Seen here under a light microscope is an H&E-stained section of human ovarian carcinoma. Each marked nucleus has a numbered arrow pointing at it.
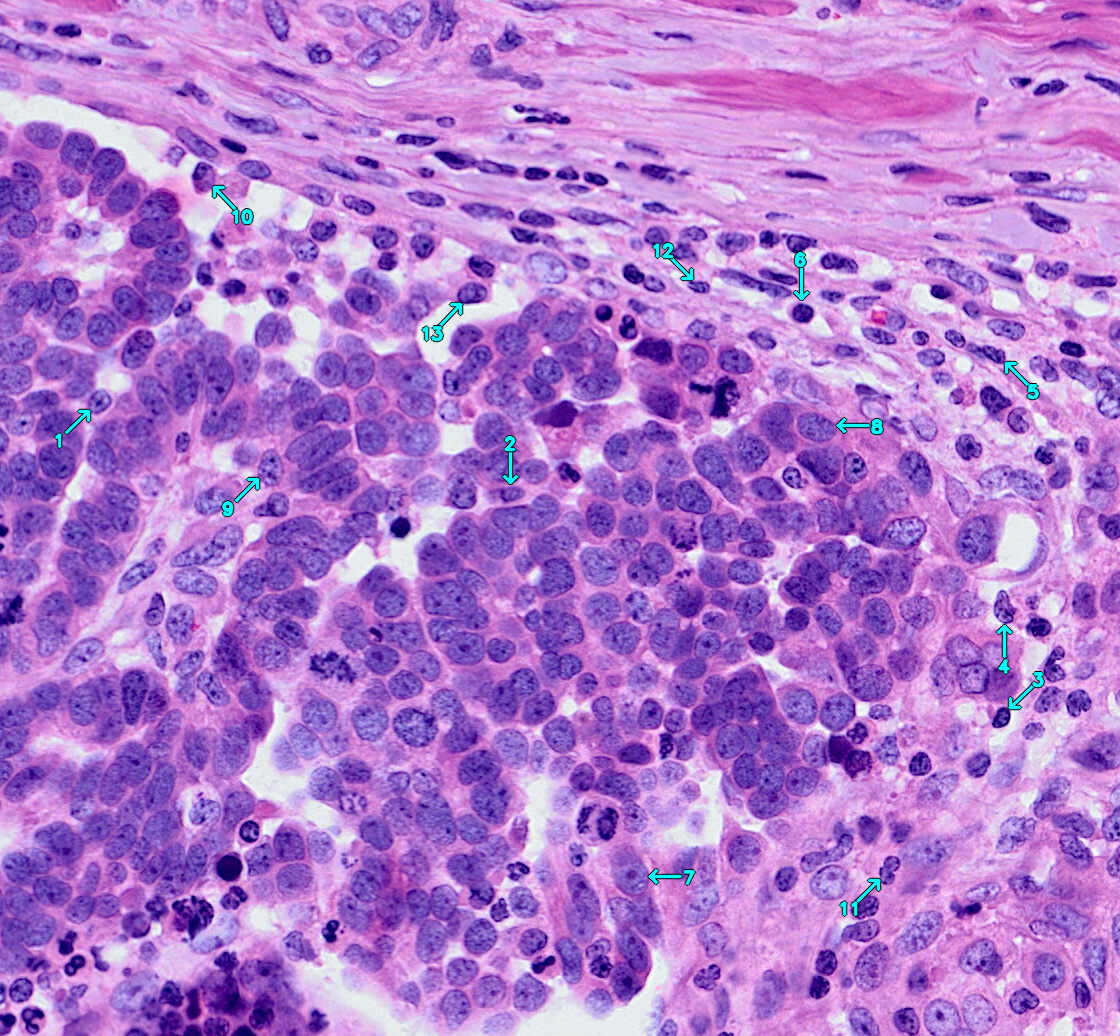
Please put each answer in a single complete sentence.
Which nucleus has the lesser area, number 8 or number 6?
It is nucleus 6; nucleus 8 has about 2 times its area.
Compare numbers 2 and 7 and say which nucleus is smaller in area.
The smaller nucleus is 2, and 7 covers roughly 3 times its area.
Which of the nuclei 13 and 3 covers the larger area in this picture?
Nucleus 13 is the larger one, covering about 1.5 times the area of nucleus 3.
